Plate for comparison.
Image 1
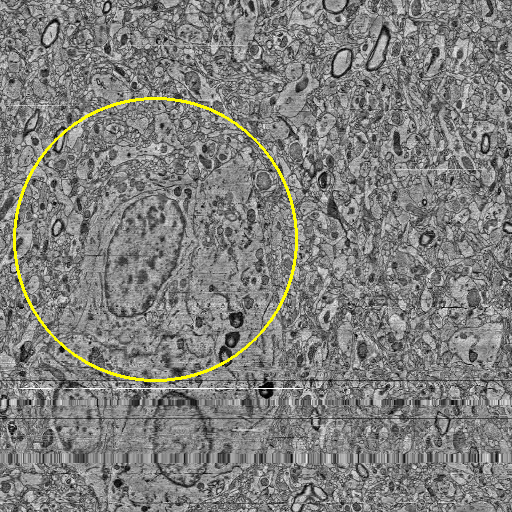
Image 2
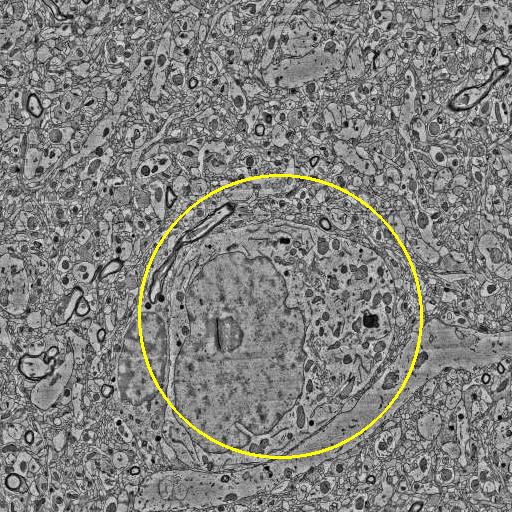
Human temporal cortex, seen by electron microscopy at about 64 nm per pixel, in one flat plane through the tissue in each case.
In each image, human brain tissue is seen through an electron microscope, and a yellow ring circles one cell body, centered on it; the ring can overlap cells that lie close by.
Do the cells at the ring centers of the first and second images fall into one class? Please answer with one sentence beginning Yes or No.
No, the first and second images show two classes of cell at the ring centers.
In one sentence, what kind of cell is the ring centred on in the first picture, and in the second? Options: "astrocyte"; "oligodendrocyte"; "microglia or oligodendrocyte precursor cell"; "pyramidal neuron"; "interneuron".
The cell at the centre of the second ring is an interneuron; the first ring's cell is a microglial cell or oligodendrocyte precursor cell.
